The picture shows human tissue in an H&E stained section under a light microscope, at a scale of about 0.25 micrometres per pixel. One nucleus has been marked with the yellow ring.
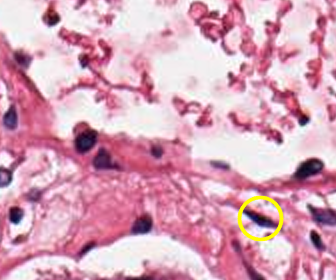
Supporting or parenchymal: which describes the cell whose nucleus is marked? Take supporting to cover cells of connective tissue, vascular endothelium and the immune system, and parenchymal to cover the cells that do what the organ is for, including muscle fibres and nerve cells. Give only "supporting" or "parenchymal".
supporting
